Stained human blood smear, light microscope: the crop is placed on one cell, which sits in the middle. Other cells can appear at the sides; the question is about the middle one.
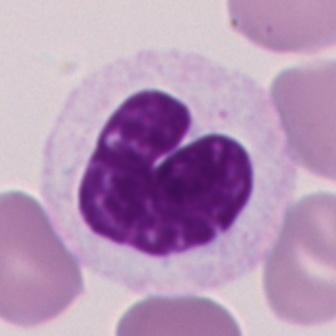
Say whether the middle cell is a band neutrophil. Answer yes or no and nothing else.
yes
